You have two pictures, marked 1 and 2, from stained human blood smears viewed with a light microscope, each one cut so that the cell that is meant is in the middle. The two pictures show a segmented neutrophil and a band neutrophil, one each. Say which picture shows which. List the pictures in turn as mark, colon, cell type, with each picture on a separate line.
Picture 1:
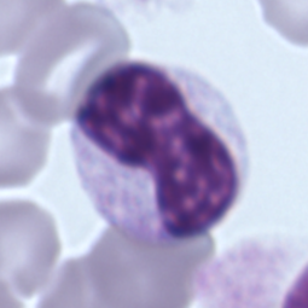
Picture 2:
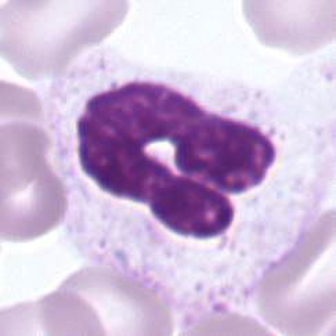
1: band neutrophil
2: segmented neutrophil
